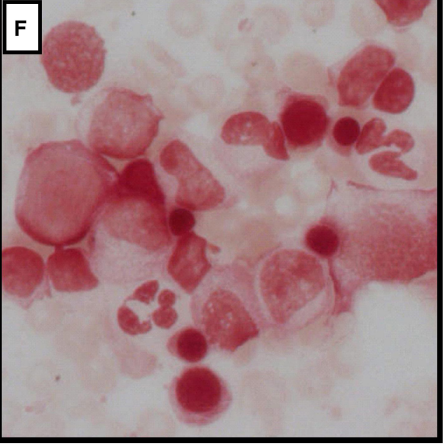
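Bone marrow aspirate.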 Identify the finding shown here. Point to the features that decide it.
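Cells are stained only in red and pink shades. No blue granules are seen in or between the cells. So: absent iron stores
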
